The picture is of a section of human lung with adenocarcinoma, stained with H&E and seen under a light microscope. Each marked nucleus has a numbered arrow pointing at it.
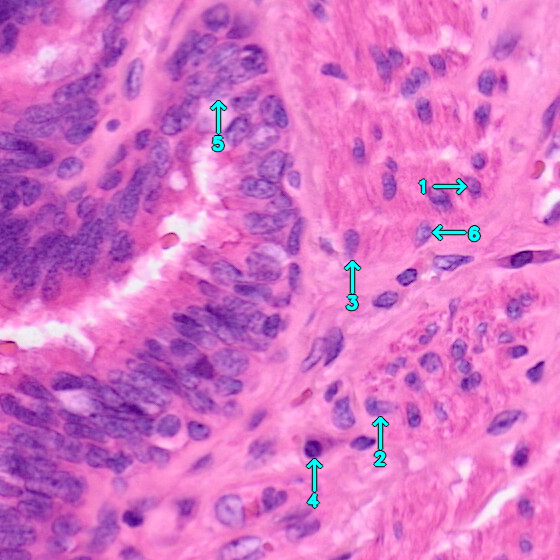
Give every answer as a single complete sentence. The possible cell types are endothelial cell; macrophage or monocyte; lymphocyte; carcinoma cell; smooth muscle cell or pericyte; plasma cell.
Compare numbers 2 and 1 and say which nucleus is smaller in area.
Number 1 is smaller, since number 2 takes up about 2 times as much area.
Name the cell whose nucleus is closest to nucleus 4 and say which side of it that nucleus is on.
An endothelial cell lies closest, below and to the left of nucleus 4.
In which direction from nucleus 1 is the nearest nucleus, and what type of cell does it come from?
The nearest one is a smooth muscle cell or pericyte, found above nucleus 1.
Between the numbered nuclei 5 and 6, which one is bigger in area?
Of the two, number 5 is bigger and takes up about 1.5 times the area of number 6.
